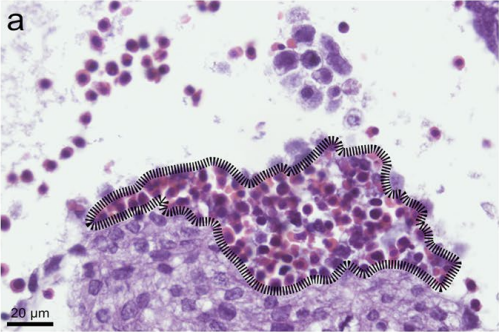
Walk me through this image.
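The outlined cells are small, round and tightly packed, with red-pink cytoplasm and a small dark round nucleus each. The cluster rests on a layer of paler, lilac-stained tissue made of larger cells with rounder, lighter nuclei. Above, in the open space, scattered single round cells of the same kind float freely, and a small group of larger, paler cells with purple cytoplasm sits apart from them.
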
